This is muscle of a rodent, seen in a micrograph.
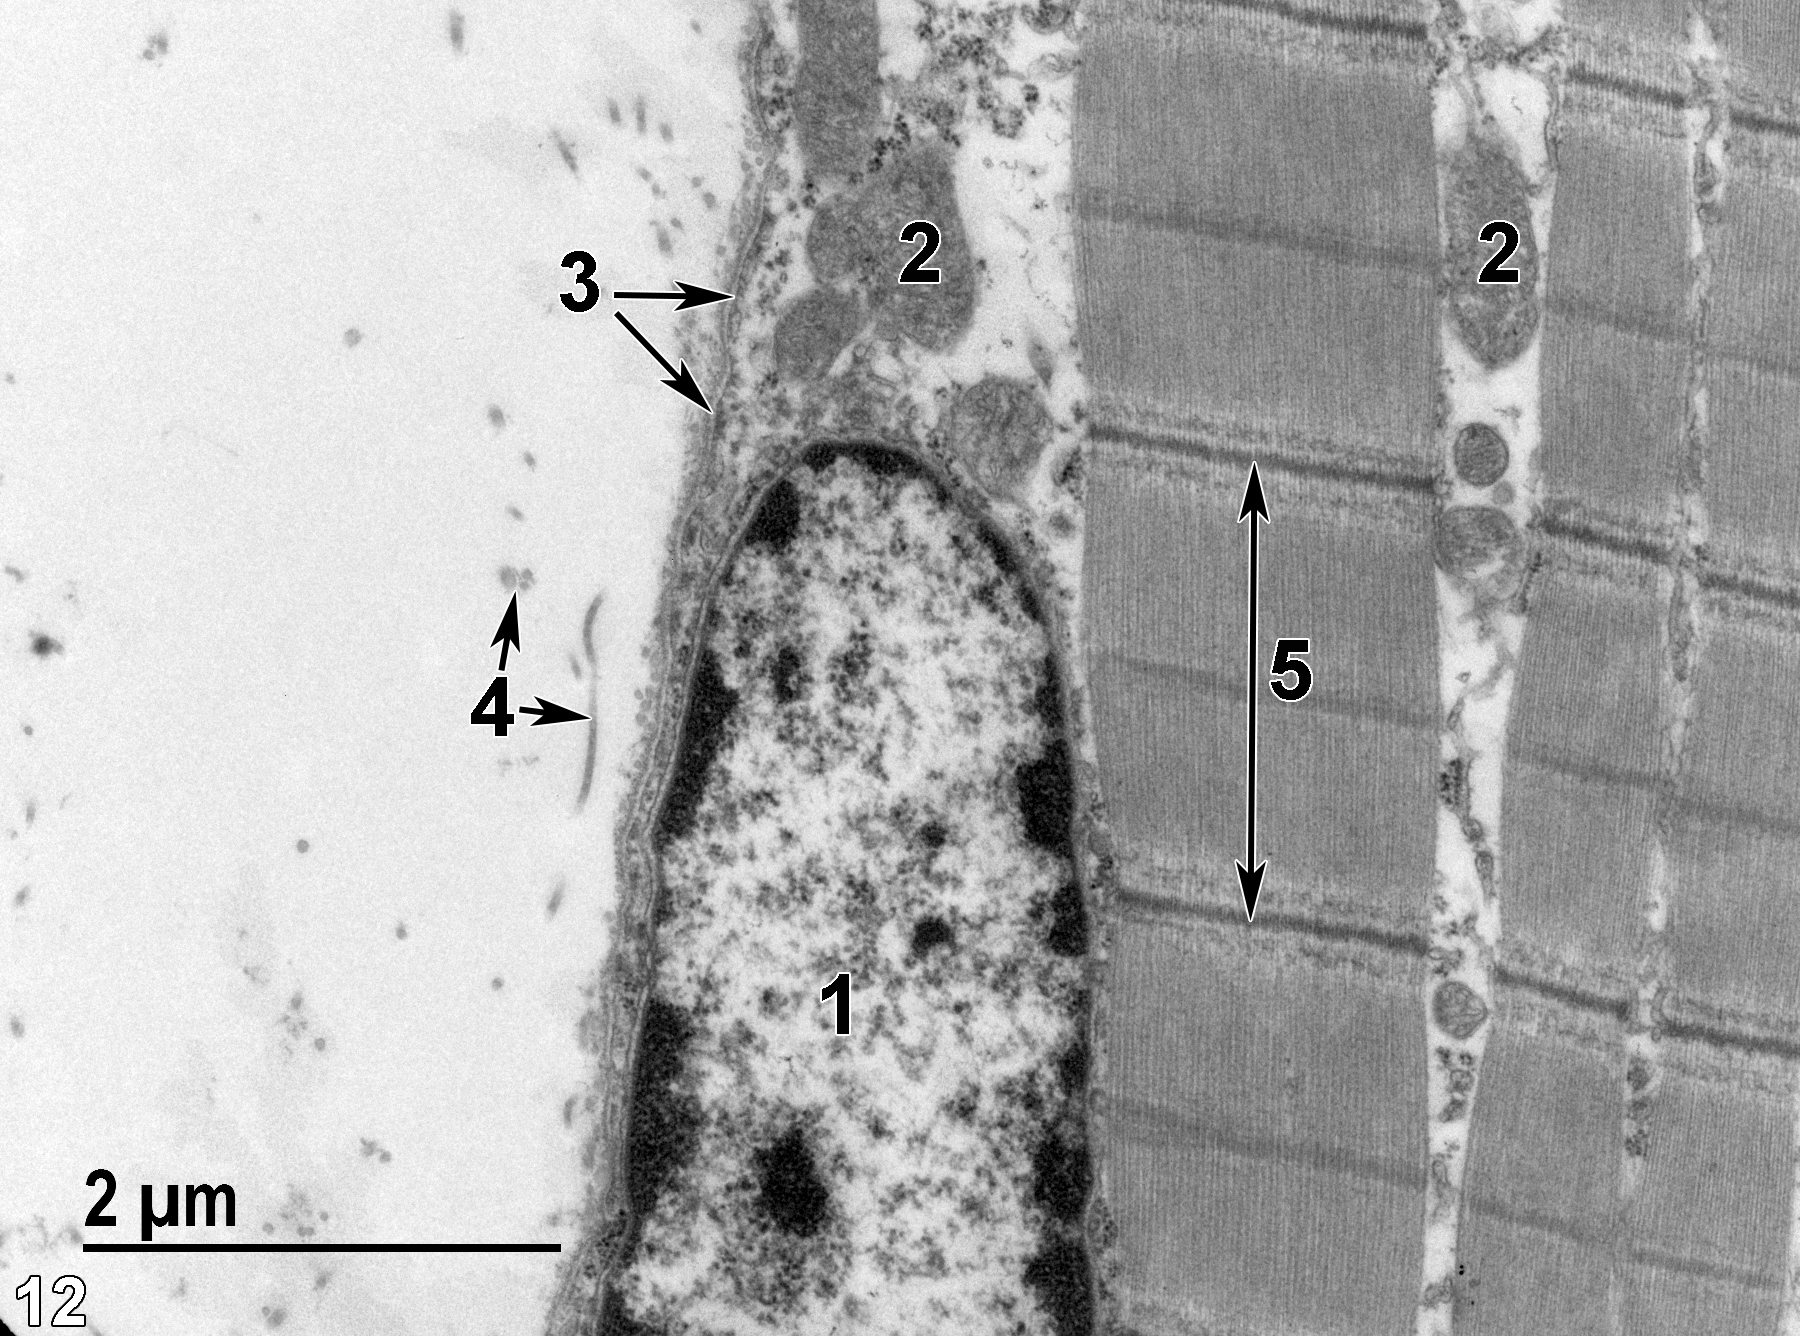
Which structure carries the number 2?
mitochondria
